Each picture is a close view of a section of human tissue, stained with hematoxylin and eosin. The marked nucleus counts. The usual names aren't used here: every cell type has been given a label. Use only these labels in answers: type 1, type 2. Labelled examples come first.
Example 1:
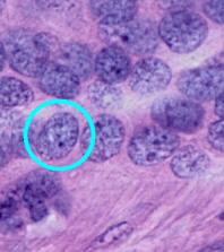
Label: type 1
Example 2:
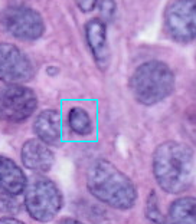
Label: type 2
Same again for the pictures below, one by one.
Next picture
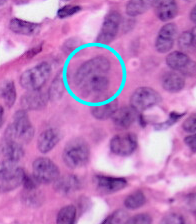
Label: type 1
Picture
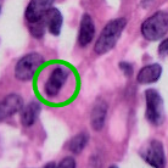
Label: type 2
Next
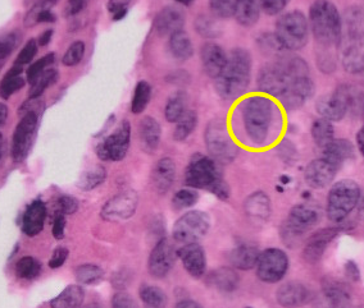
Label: type 1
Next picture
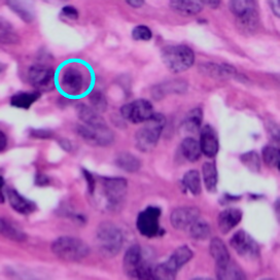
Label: type 1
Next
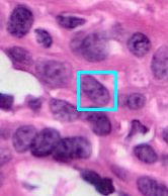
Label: type 1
